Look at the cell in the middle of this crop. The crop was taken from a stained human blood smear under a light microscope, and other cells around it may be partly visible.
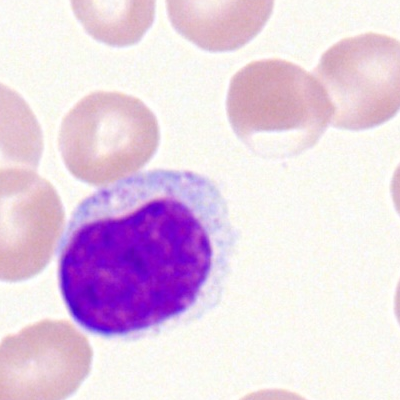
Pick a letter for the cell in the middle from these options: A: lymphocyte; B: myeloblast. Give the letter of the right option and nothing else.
A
